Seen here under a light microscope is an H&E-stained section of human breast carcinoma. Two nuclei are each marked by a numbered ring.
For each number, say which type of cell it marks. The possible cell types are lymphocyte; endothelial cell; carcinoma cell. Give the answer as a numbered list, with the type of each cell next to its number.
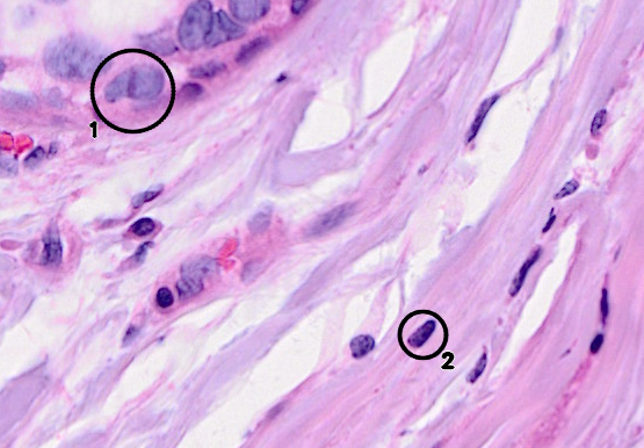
1. carcinoma cell
2. lymphocyte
